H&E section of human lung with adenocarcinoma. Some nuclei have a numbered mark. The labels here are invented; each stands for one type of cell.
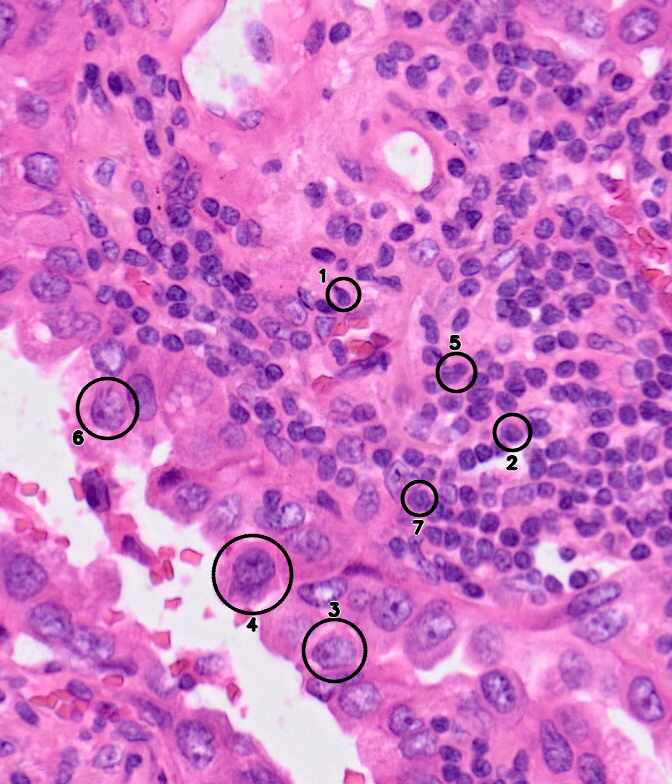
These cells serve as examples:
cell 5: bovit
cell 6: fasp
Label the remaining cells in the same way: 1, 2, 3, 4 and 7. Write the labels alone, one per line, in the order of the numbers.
bovit
bovit
fasp
fasp
bovit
